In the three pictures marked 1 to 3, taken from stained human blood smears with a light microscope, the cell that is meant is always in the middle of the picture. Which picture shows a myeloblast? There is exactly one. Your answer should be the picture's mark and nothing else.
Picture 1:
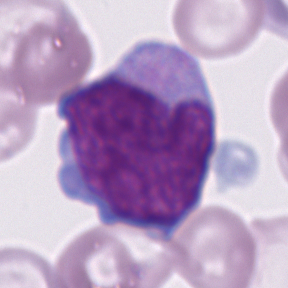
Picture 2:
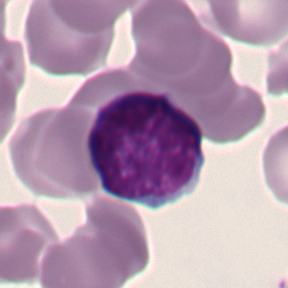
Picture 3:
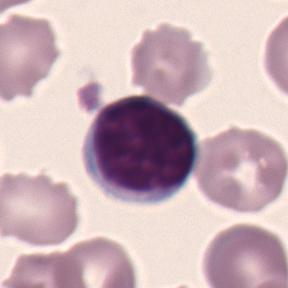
1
